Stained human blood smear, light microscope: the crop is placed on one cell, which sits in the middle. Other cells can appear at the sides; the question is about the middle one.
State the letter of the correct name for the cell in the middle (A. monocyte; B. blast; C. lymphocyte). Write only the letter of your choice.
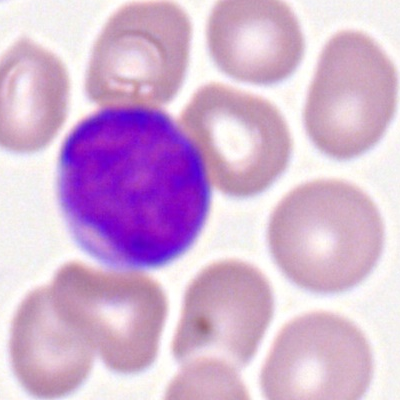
B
